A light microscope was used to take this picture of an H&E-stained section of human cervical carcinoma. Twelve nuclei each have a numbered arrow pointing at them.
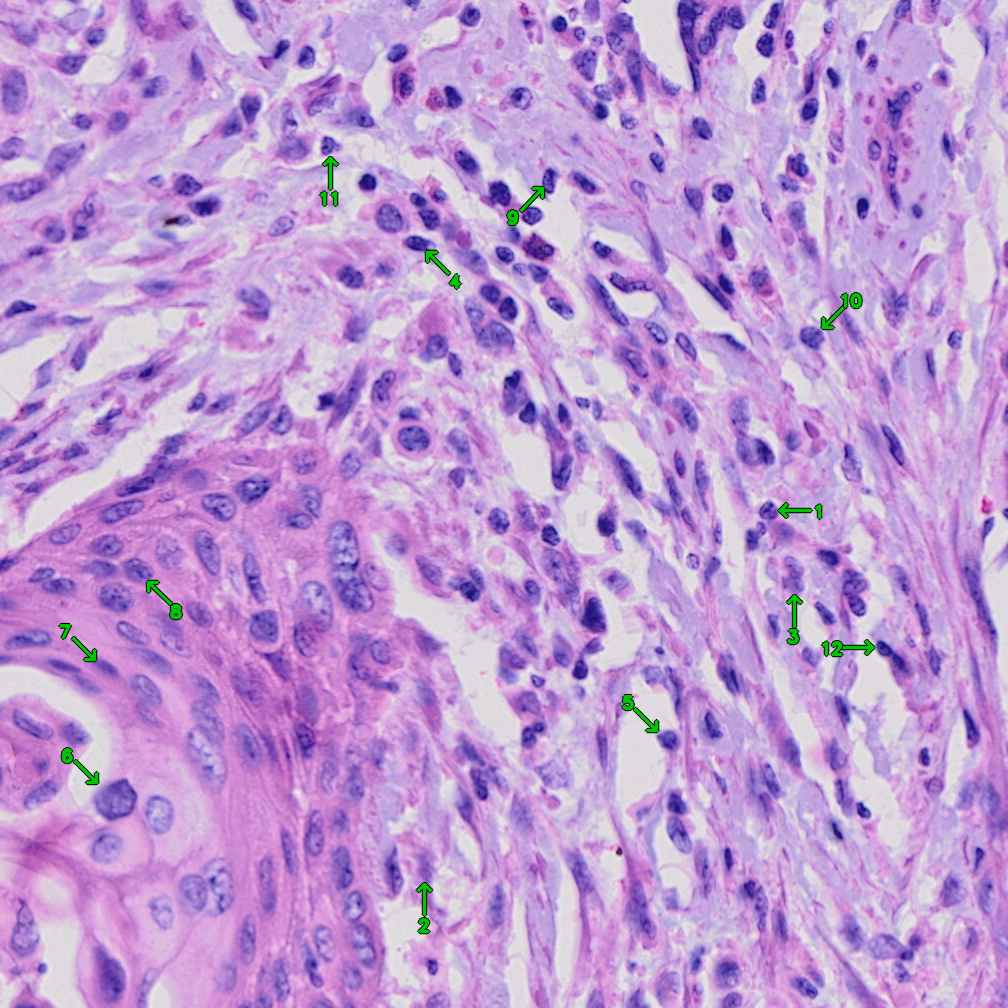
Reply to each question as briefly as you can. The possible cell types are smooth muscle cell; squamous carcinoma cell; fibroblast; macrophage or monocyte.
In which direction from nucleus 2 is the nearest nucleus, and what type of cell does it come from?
a macrophage or monocyte, to the left of nucleus 2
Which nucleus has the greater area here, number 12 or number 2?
2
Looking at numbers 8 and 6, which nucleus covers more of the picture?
6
